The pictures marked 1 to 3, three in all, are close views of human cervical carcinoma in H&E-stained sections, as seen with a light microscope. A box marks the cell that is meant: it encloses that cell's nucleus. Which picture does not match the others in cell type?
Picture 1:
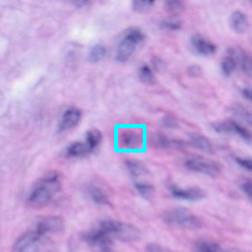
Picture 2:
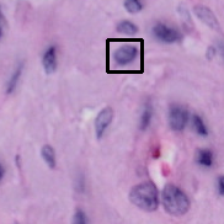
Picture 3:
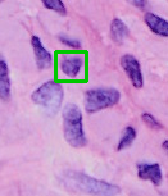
1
